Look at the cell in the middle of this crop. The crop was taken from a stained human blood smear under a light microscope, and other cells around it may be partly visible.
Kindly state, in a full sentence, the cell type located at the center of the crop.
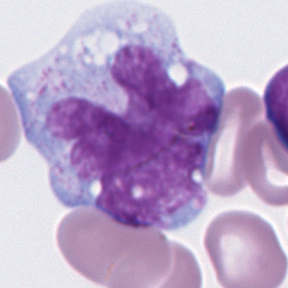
The middle of this crop is occupied by a monocyte.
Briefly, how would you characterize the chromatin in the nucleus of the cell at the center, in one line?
What stands out is fine chromatin lacking any coarse clumps.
